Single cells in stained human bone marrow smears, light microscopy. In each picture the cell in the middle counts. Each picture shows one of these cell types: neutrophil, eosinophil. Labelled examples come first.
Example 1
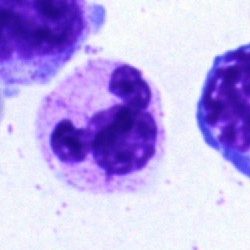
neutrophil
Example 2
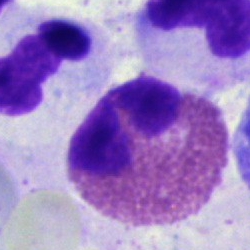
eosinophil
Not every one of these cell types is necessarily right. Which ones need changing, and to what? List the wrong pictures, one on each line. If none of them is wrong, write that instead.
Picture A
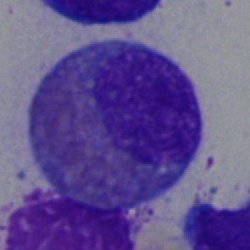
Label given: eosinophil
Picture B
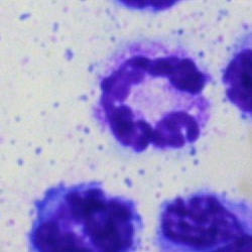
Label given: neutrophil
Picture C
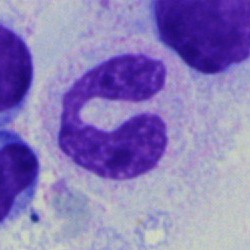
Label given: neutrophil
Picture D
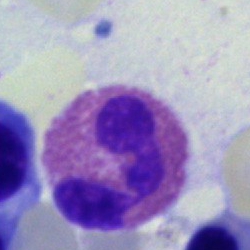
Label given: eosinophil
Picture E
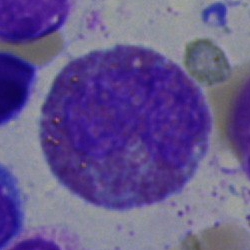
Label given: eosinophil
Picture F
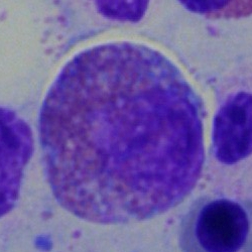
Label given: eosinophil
No label is wrong.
